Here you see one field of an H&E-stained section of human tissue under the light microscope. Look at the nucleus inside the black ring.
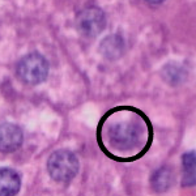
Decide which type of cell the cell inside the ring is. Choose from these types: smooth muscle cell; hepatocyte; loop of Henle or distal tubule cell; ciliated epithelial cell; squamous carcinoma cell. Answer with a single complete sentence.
The classification of the cell inside the ring is as a hepatocyte.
